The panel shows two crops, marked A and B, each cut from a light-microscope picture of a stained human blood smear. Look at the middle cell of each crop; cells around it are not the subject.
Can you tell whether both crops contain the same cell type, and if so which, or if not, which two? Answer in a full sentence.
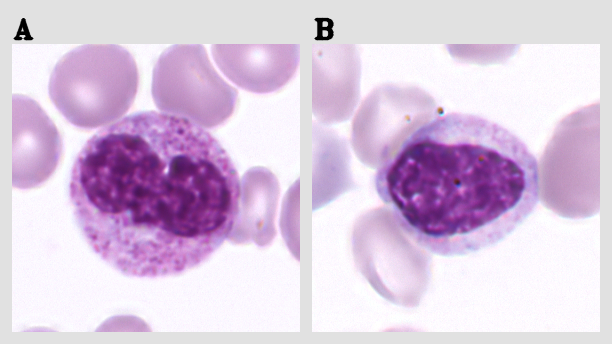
No, crop A has a band neutrophil at its center, and crop B has a metamyelocyte.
